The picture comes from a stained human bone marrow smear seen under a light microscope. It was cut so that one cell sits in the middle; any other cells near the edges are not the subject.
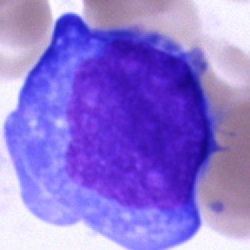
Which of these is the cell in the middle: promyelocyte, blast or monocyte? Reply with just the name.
blast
